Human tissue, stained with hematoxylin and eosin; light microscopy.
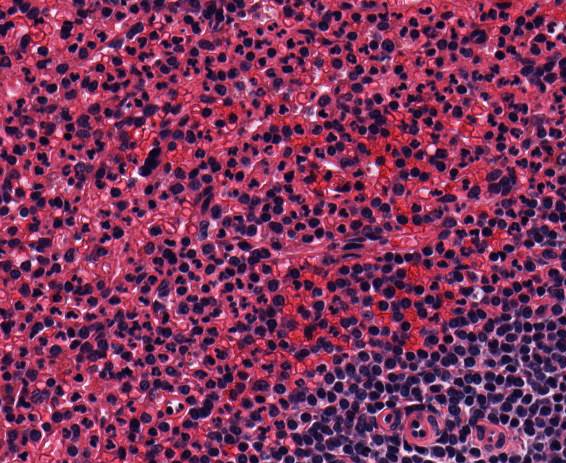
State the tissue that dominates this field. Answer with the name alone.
red pulp of the spleen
